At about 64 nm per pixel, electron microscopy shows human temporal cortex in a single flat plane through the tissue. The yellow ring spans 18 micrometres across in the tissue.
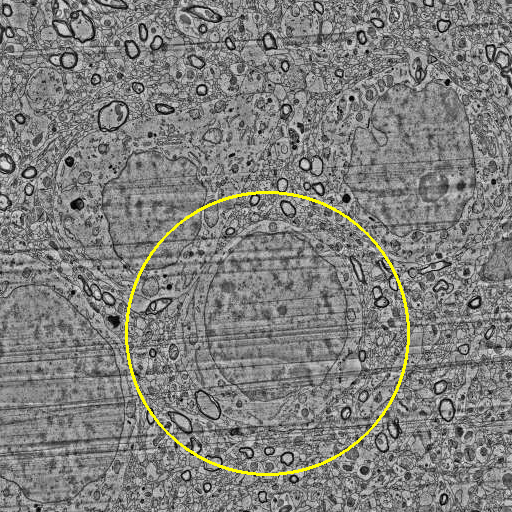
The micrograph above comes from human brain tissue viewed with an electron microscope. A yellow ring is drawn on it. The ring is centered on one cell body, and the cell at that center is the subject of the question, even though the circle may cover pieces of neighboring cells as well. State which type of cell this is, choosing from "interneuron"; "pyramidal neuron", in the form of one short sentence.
The cell the ring is centered on is a pyramidal neuron.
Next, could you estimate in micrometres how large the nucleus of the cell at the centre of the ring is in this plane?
In this plane the nucleus measures roughly 11 by 9 micrometres.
